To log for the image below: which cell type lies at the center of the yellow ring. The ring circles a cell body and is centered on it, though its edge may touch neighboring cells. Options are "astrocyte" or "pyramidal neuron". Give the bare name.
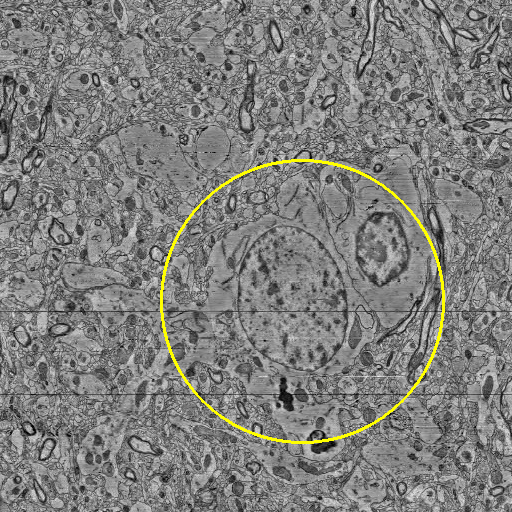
astrocyte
